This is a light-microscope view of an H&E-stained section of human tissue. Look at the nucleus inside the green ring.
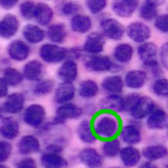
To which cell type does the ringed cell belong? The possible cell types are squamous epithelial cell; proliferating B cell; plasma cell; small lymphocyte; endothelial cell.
small lymphocyte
